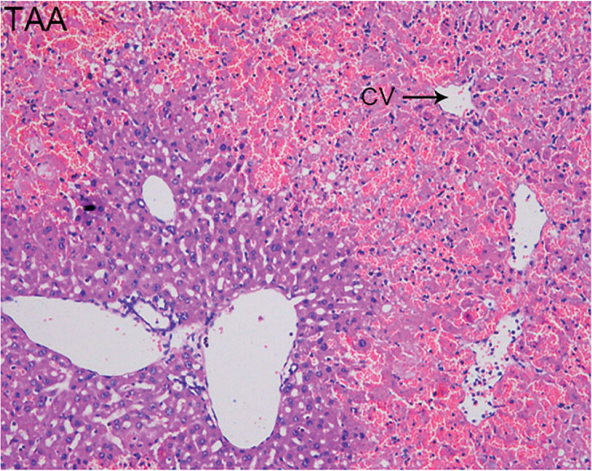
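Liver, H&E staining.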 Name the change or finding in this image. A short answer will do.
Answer: Hepatocellular necrosis.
